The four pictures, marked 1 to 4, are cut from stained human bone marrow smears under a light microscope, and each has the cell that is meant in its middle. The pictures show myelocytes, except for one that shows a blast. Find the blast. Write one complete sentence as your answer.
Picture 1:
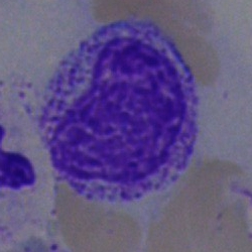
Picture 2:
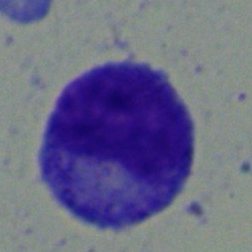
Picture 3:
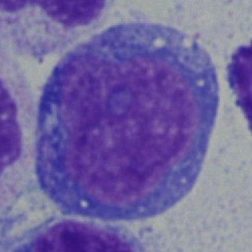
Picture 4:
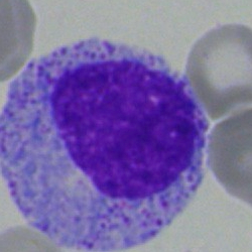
The picture with the blast is 3.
